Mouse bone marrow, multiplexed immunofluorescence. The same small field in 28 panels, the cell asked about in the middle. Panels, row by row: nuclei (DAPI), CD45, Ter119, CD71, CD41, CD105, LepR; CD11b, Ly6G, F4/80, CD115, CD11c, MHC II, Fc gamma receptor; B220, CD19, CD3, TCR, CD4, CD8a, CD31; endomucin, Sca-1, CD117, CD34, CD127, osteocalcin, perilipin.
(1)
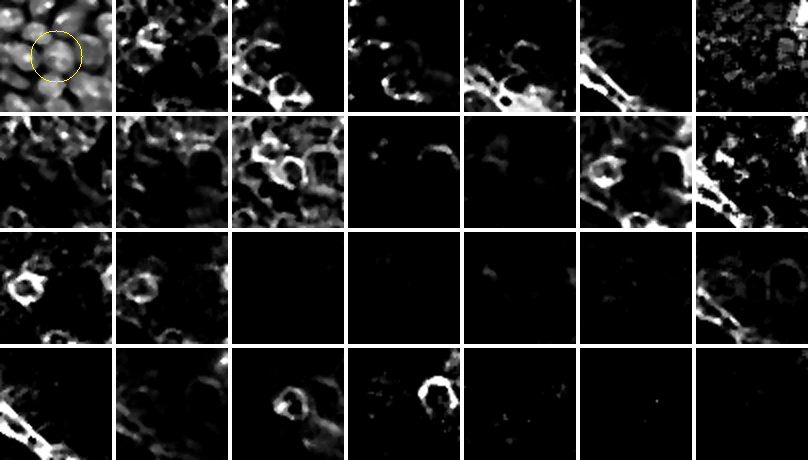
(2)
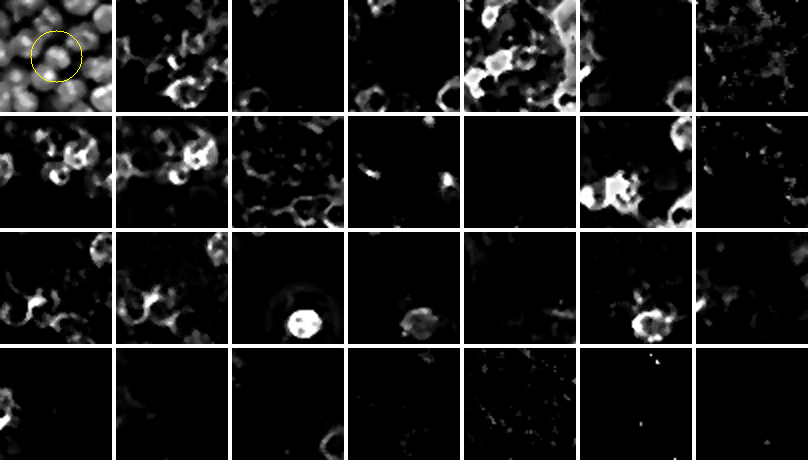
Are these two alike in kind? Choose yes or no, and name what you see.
No. First a megakaryocyte-erythroid progenitor, second a neutrophil.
